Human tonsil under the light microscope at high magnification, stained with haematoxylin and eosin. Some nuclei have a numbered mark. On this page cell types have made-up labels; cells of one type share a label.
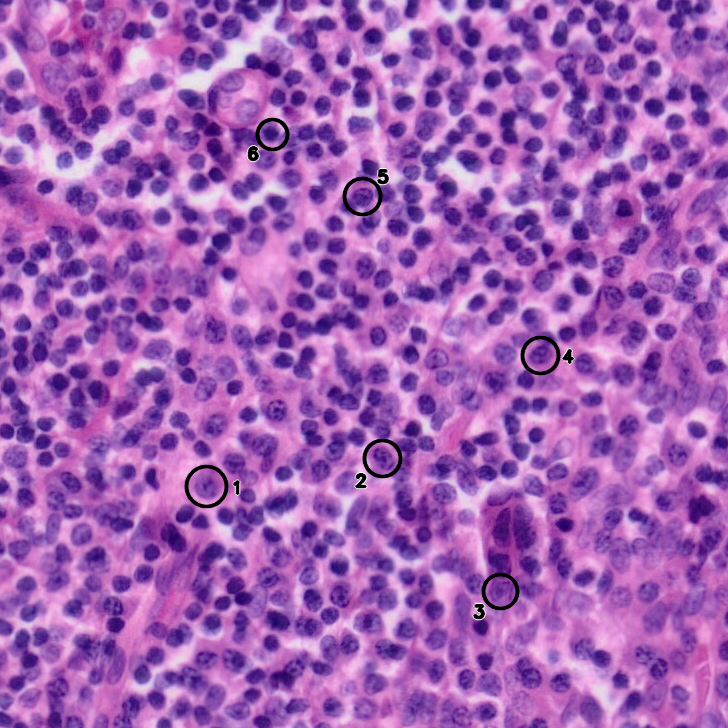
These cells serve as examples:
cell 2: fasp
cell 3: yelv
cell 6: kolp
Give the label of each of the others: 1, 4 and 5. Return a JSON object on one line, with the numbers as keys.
{"1": "fasp", "4": "fasp", "5": "fasp"}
